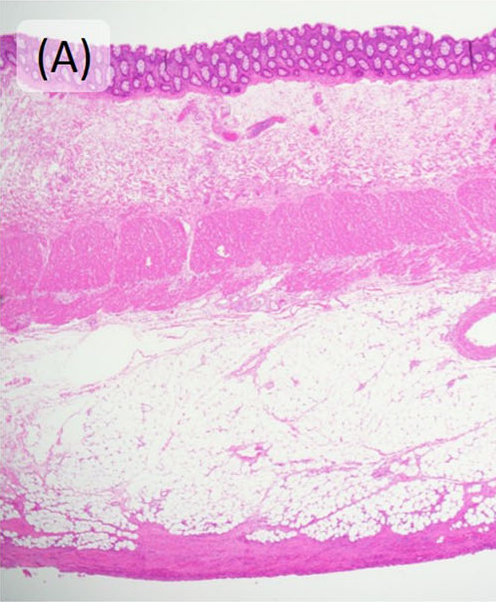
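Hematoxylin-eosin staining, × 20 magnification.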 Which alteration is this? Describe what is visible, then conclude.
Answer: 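Edematous change. The layer between the mucosa and the muscle coat is pale and loose-textured. The surface mucosa with crypts is intact, not replaced by pink debris.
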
